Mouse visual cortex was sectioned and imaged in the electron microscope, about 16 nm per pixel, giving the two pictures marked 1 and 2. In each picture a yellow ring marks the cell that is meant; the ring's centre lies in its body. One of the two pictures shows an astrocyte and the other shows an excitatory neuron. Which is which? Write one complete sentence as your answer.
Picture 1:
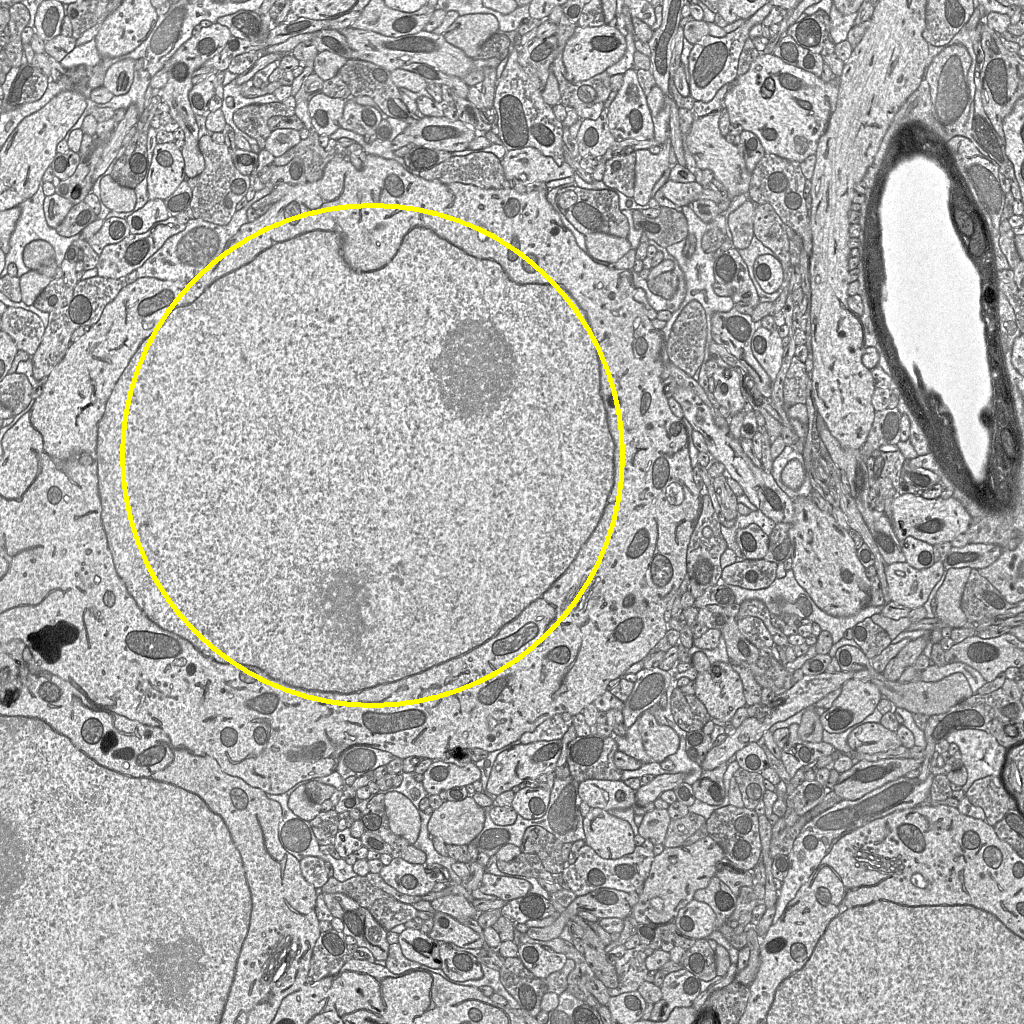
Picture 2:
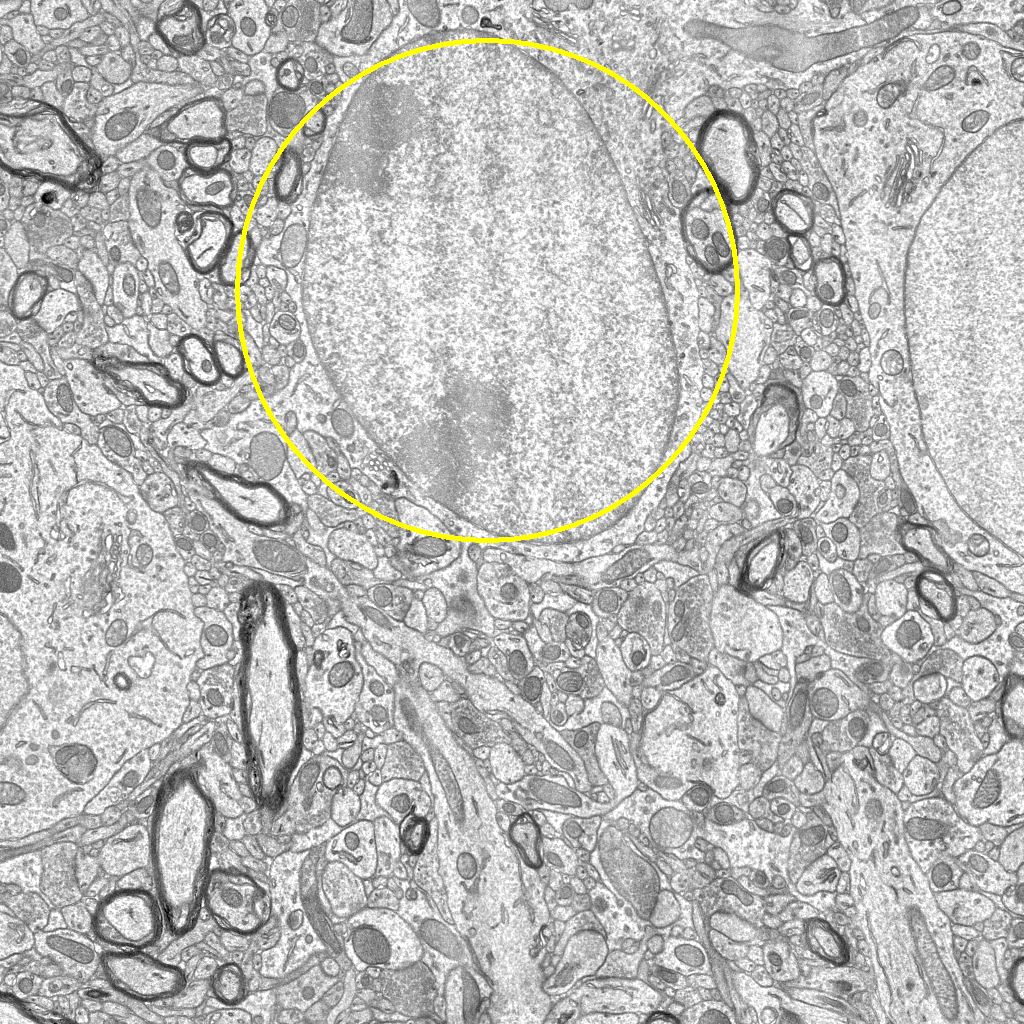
The cell in picture 1 is an excitatory neuron, and the one in picture 2 is an astrocyte.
